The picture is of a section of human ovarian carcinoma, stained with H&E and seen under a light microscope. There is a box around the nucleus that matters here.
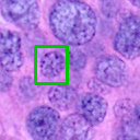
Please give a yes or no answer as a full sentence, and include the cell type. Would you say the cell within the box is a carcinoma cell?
Yes, the cell within the box is a carcinoma cell in this section.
